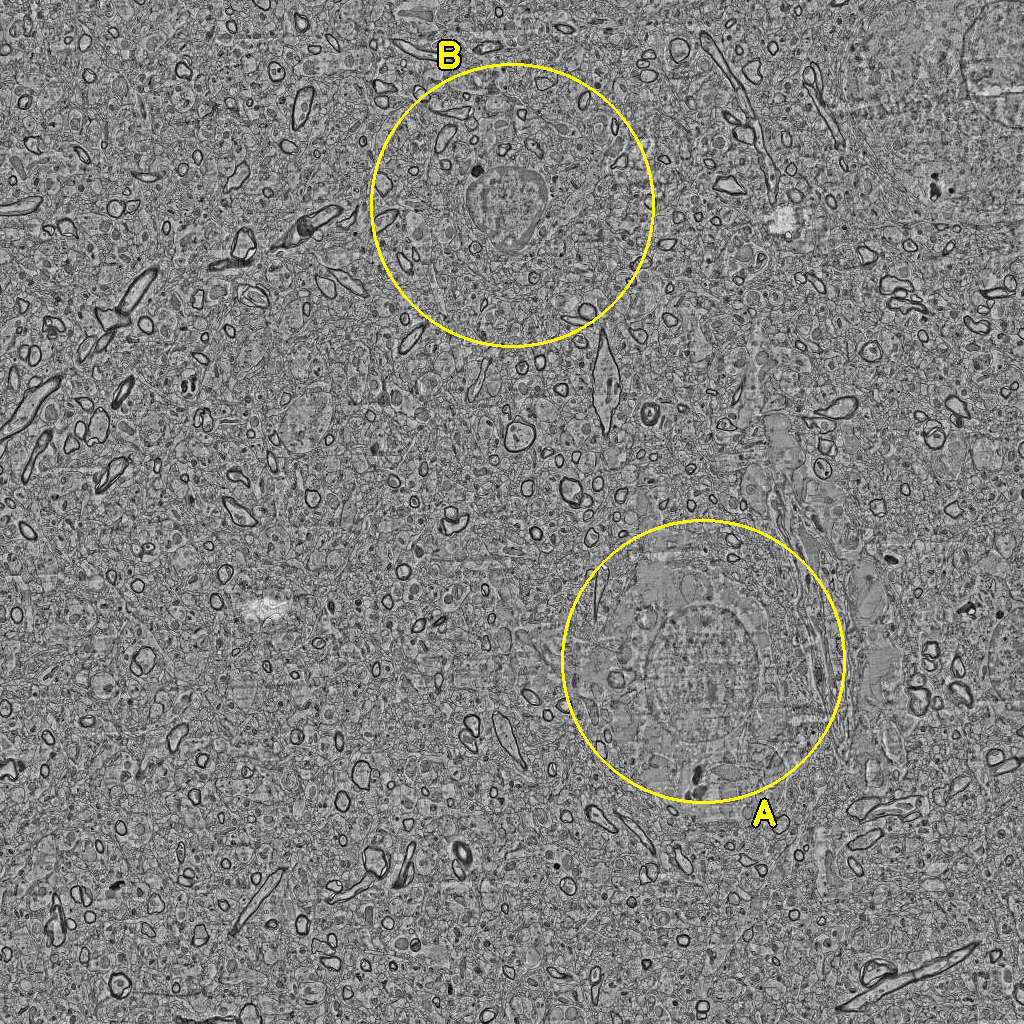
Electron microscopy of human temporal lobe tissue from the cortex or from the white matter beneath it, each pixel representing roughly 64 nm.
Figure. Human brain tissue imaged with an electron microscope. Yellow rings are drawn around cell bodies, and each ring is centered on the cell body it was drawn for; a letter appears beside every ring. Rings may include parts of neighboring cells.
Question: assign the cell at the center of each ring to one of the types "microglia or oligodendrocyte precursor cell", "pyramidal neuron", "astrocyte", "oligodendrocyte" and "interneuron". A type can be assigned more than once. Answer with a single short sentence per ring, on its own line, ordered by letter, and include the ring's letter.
Centered in ring A is an astrocyte.
Centered in ring B is a microglial cell or oligodendrocyte precursor cell.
